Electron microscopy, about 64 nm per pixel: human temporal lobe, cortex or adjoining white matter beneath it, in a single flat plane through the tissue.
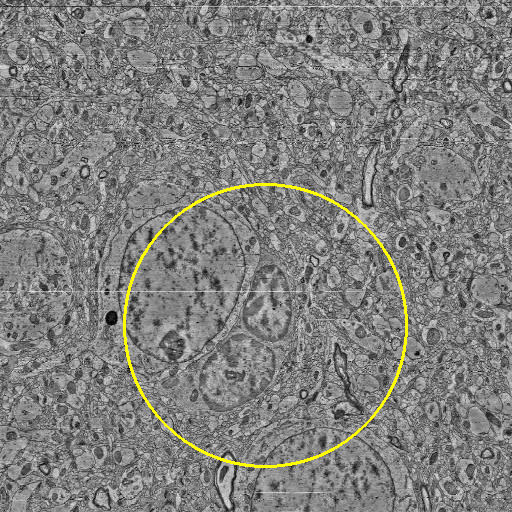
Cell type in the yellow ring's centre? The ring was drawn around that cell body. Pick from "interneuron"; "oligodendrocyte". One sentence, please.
The ringed cell body is that of an oligodendrocyte.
